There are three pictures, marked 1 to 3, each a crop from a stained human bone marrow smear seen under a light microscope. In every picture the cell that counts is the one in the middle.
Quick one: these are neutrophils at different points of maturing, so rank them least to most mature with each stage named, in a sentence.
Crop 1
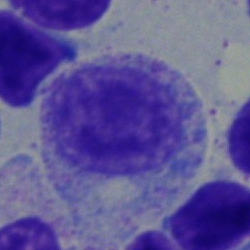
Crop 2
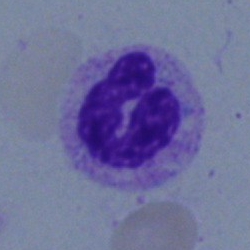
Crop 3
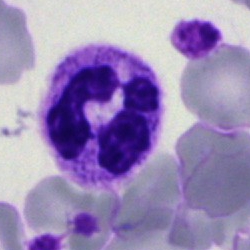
The arrangement from least to most mature is crop 1 (a myelocyte), crop 2 (a band neutrophil) and crop 3 (a segmented neutrophil).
